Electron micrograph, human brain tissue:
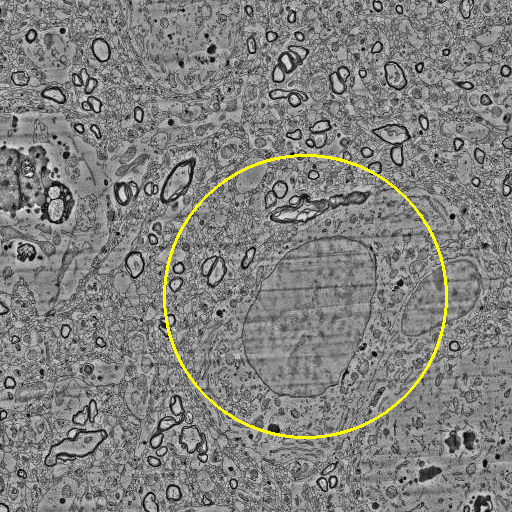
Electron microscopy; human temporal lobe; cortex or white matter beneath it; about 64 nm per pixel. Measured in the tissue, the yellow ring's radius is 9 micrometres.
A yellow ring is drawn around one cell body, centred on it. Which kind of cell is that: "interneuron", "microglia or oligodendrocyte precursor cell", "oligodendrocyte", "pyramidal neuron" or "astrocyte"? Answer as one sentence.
It is an interneuron at the centre of the ring.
